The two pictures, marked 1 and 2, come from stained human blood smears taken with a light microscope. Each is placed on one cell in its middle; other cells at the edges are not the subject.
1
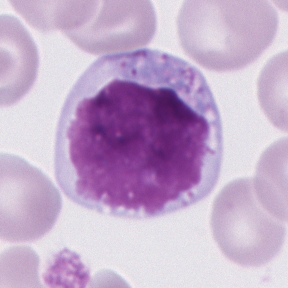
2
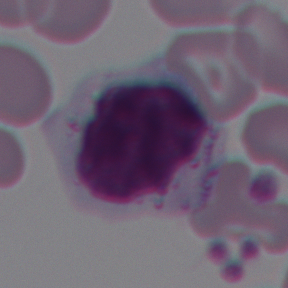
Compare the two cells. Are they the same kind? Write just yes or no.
yes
